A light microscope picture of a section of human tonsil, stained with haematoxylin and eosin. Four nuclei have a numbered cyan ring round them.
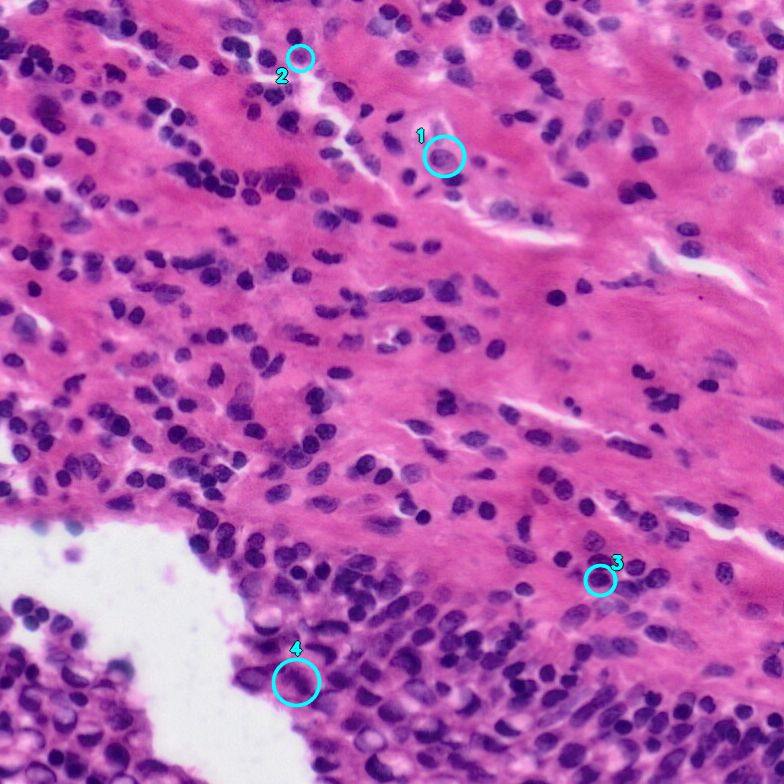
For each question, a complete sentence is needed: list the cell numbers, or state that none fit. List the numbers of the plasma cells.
The cells numbered 2 and 3 are, by type, plasma cells.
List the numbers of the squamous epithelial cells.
Cell 4 stands alone among the numbered cells as a squamous epithelial cell.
